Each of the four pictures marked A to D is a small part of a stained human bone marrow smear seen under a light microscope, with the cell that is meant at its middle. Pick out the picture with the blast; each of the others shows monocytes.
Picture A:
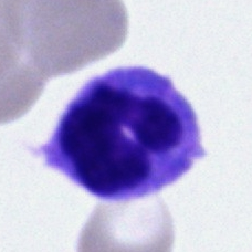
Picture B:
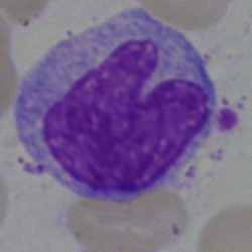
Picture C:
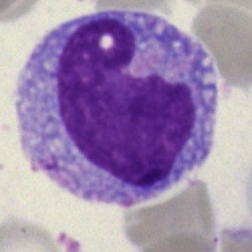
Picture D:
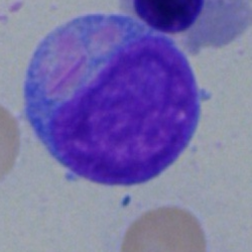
D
